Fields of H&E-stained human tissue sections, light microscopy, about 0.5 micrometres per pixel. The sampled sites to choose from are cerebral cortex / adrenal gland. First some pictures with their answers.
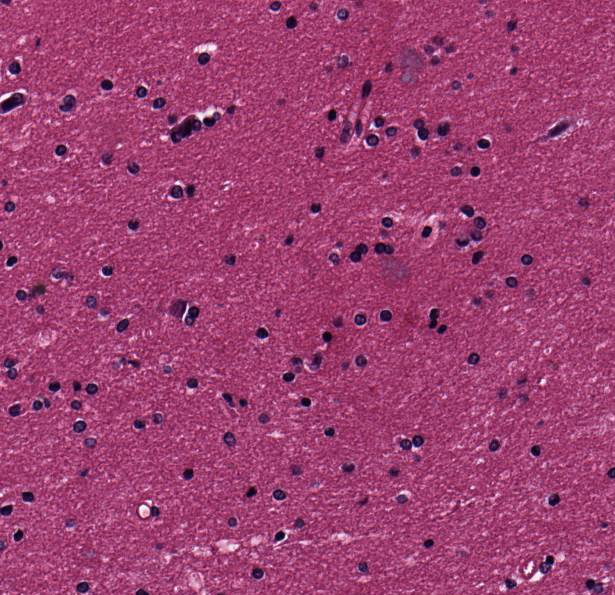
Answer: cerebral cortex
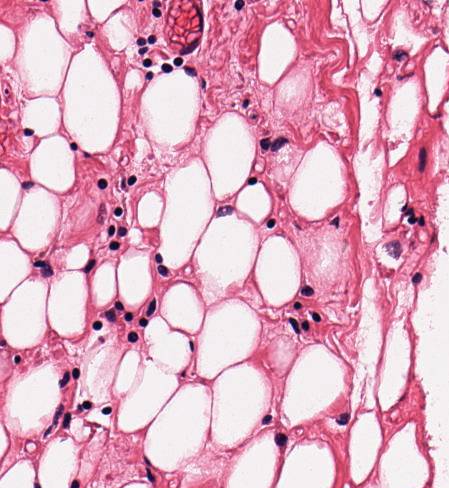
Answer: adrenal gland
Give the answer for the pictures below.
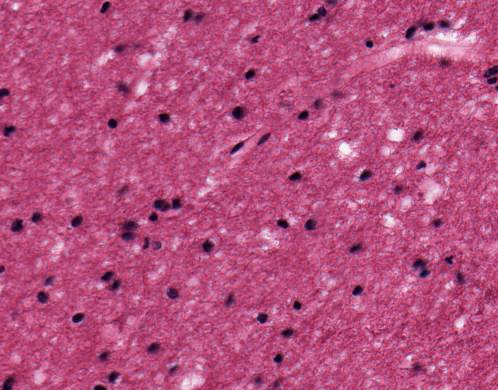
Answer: cerebral cortex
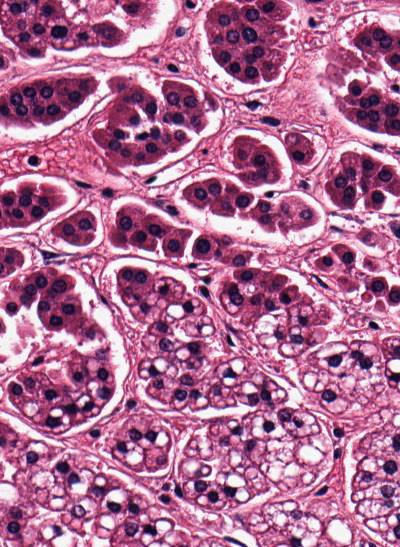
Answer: adrenal gland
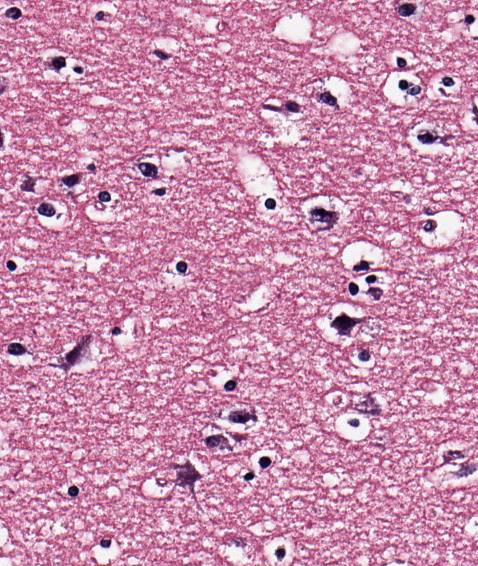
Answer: cerebral cortex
